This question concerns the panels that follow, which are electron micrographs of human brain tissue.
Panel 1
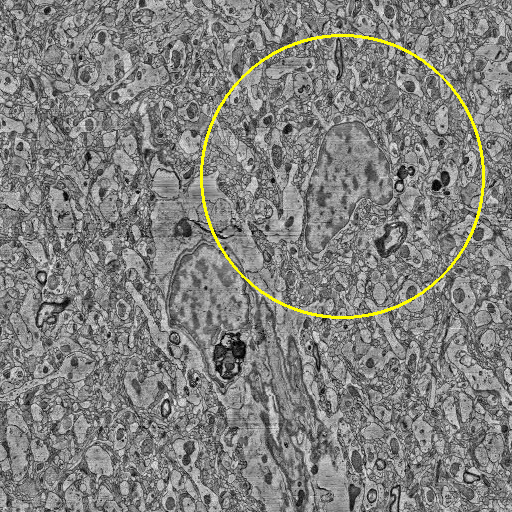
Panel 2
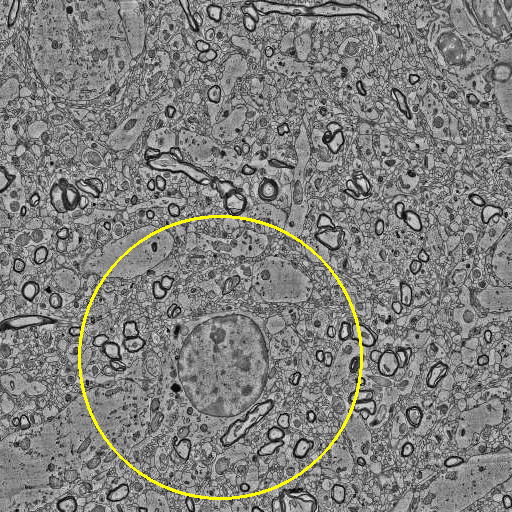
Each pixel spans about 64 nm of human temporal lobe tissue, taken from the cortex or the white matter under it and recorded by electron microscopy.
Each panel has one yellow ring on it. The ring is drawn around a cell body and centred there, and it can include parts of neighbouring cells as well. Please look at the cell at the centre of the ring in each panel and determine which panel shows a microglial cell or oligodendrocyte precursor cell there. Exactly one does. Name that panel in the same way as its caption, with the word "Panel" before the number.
Panel 1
